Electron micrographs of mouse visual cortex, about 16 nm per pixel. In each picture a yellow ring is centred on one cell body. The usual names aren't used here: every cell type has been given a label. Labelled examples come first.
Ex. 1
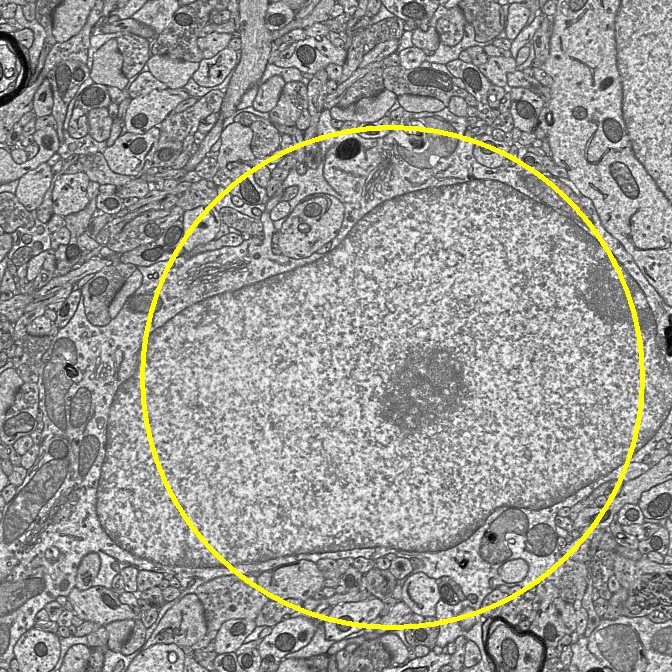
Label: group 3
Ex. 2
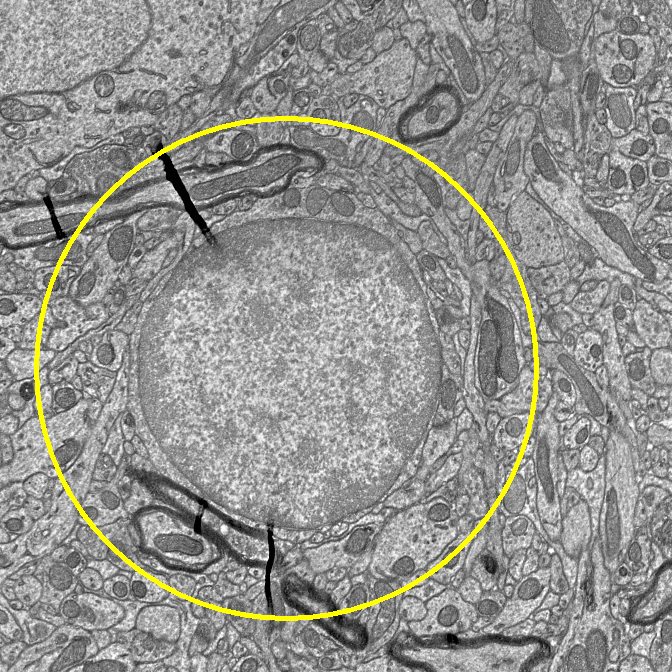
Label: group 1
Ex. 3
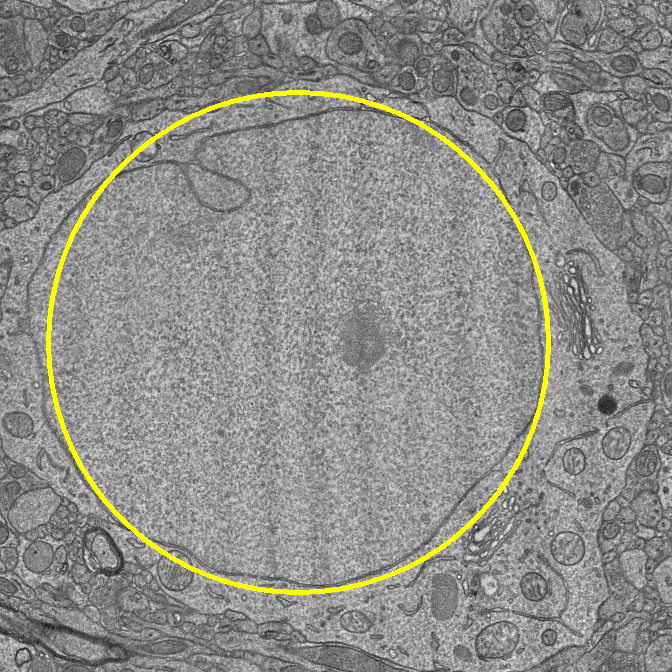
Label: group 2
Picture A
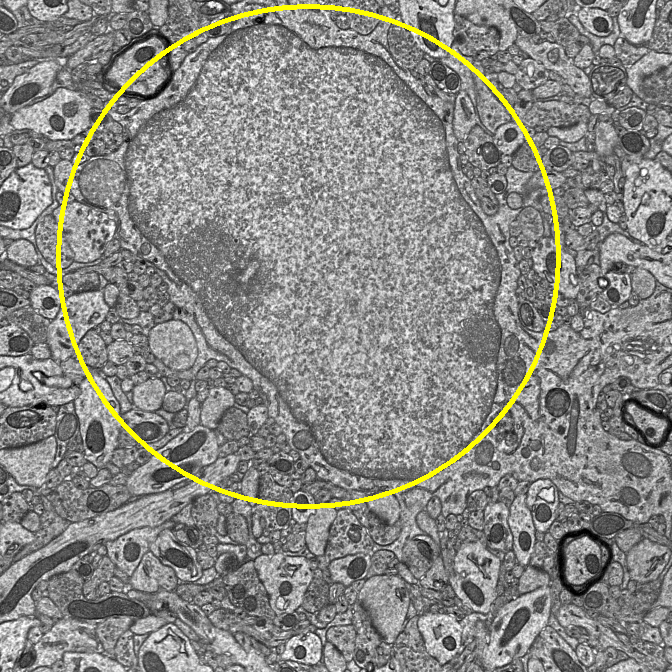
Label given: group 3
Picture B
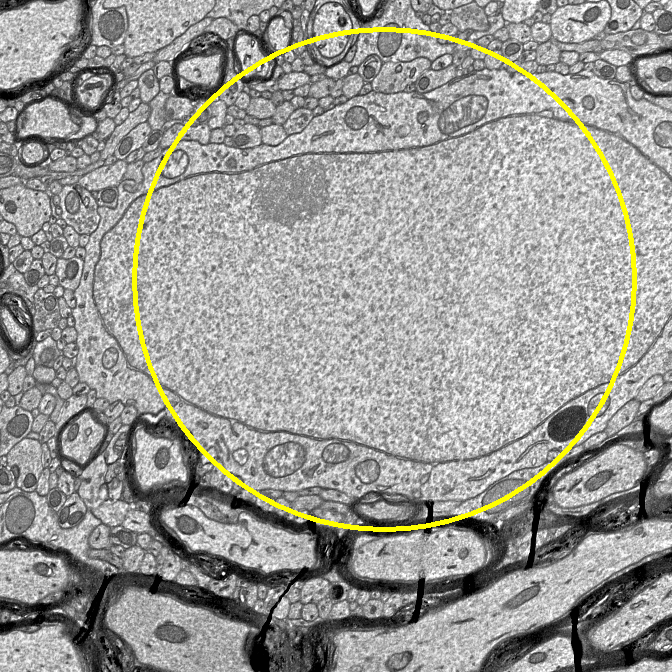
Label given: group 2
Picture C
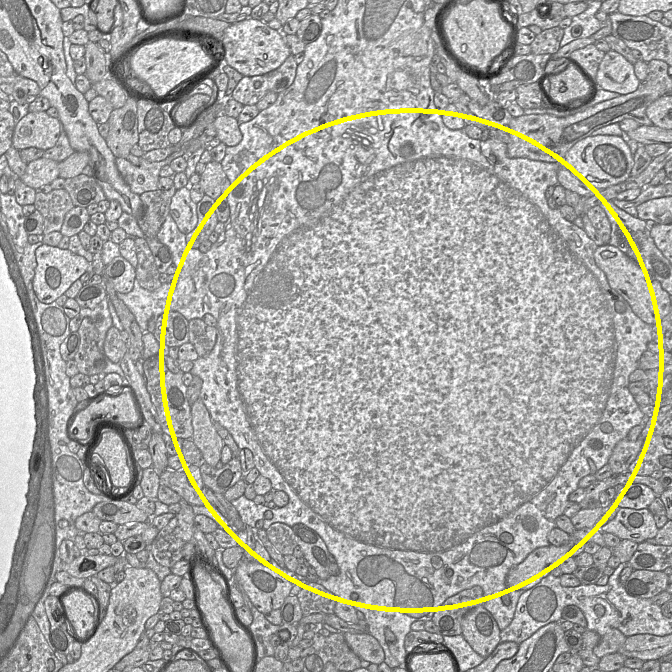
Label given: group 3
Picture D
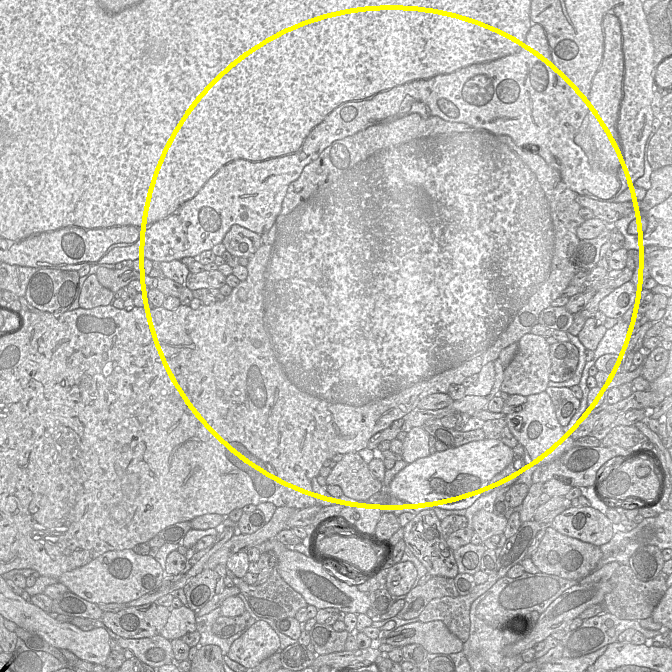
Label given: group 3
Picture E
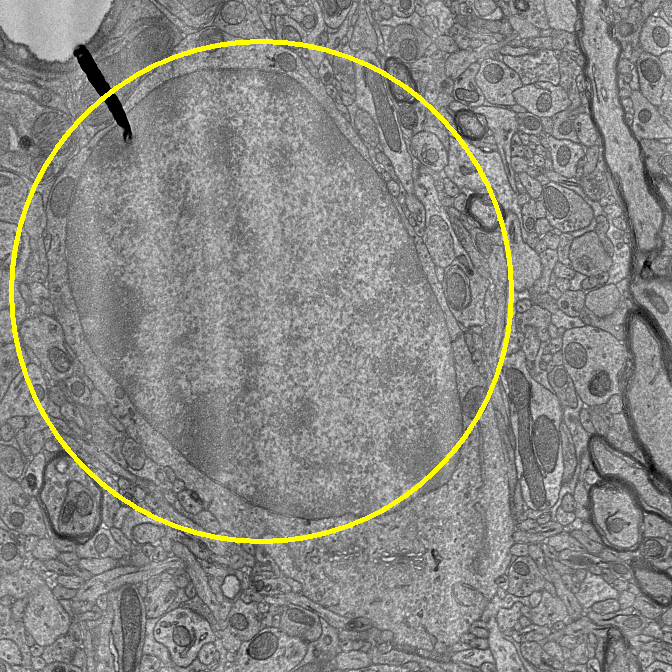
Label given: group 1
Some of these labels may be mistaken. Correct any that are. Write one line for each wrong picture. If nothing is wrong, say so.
D: not group 3 but group 1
